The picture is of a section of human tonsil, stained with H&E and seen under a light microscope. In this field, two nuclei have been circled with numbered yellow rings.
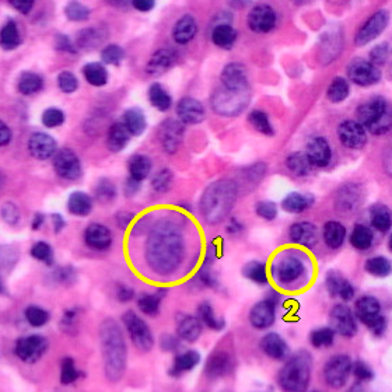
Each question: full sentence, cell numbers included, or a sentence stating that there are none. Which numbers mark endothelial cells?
Of the cells carrying numbers, just cell 1 is an endothelial cell.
